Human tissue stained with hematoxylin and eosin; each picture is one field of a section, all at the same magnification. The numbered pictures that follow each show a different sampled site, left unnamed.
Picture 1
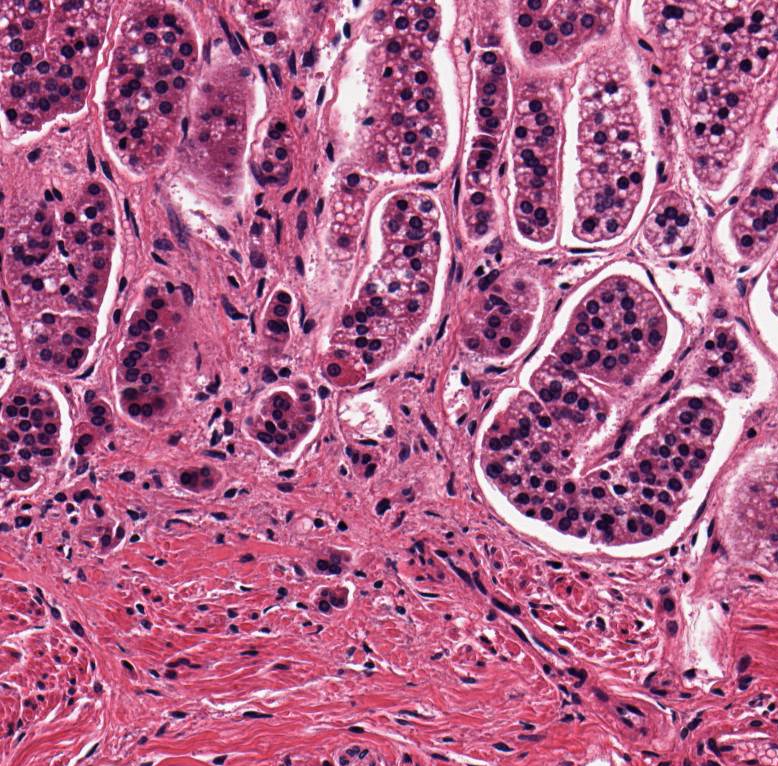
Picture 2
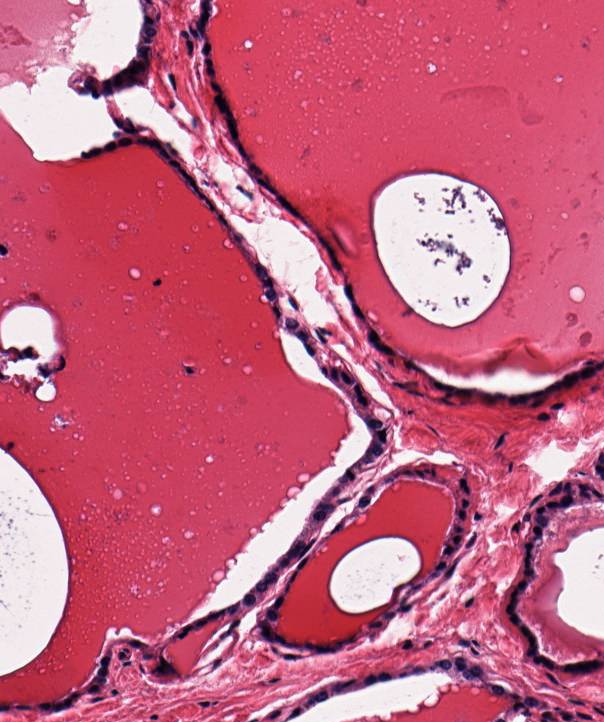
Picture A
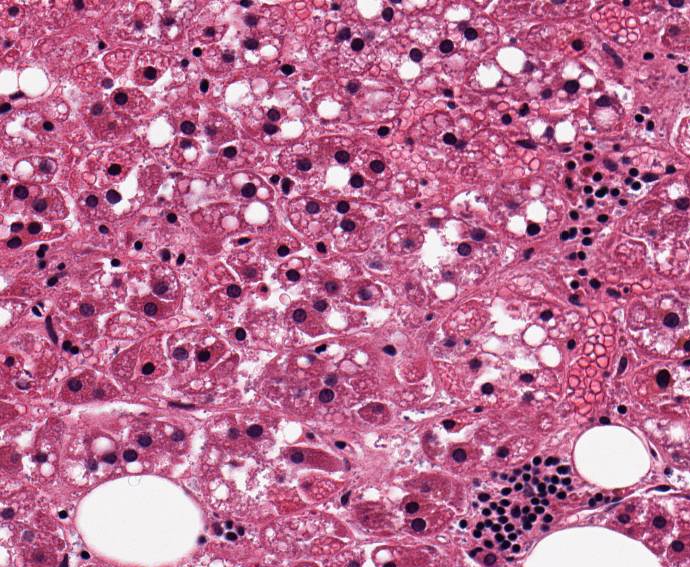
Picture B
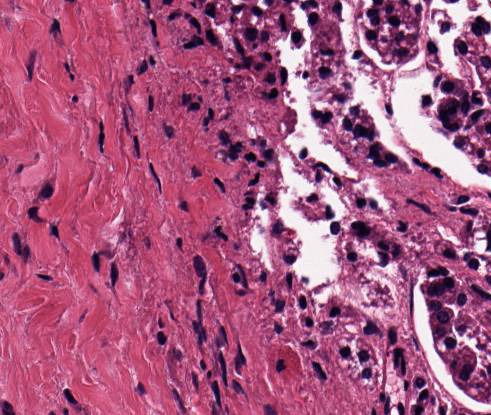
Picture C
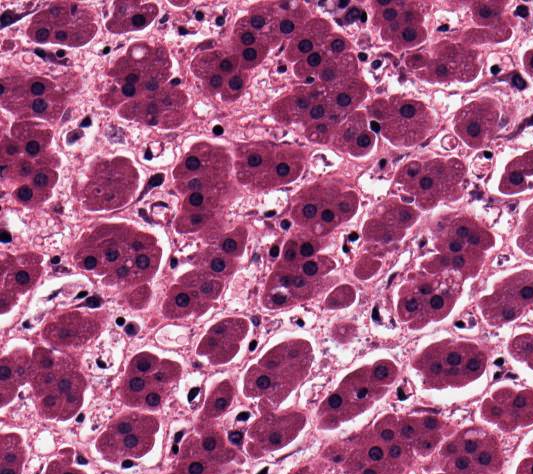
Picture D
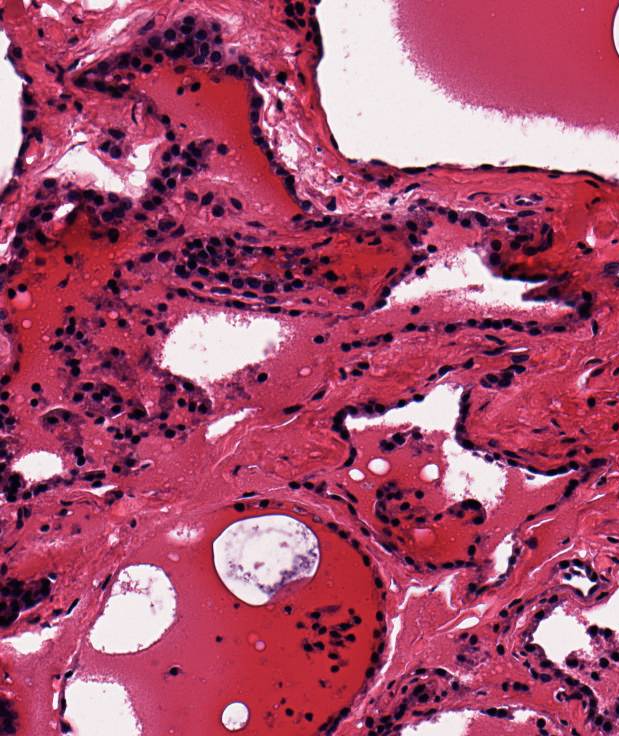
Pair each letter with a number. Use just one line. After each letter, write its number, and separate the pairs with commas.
A 1, B 1, C 1, D 2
